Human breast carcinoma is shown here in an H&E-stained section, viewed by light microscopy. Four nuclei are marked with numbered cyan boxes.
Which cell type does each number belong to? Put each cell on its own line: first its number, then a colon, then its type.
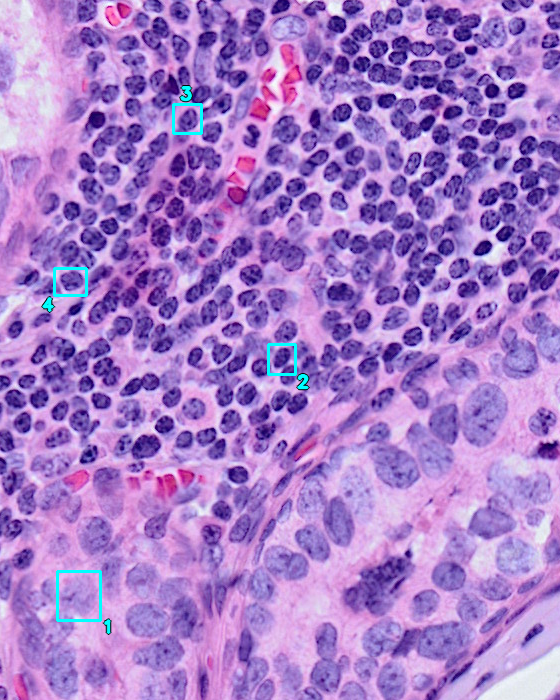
1: carcinoma cell
2: lymphocyte
3: lymphocyte
4: lymphocyte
